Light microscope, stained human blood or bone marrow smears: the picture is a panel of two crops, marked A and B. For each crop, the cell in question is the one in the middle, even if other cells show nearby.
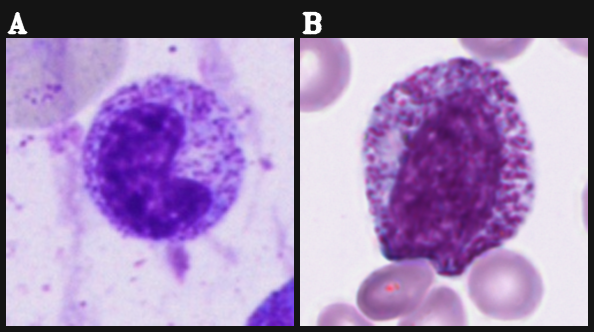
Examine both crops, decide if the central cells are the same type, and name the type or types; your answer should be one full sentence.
No, just to correct that: crop A shows a metamyelocyte, crop B shows a myelocyte.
